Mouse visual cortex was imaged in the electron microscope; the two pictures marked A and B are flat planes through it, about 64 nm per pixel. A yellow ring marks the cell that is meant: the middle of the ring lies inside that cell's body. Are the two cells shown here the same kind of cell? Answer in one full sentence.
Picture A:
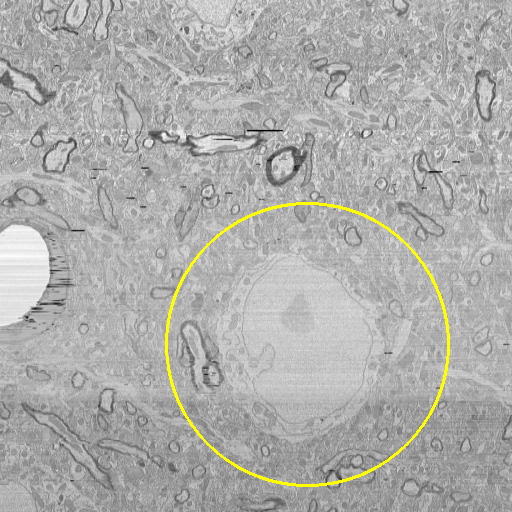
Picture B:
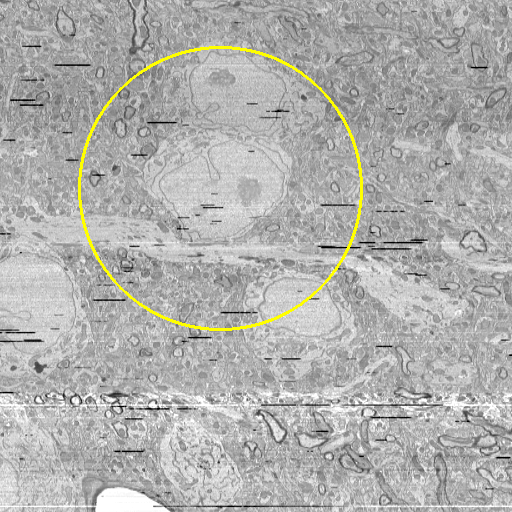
Yes; the cells in both pictures are excitatory neurons.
